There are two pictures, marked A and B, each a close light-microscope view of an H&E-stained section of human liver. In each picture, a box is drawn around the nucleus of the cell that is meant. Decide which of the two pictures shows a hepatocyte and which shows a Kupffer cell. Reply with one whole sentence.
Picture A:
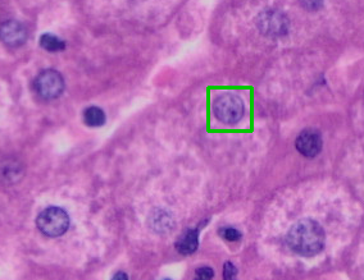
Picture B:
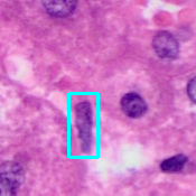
The cell in picture A is a hepatocyte, and the one in picture B is a Kupffer cell.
